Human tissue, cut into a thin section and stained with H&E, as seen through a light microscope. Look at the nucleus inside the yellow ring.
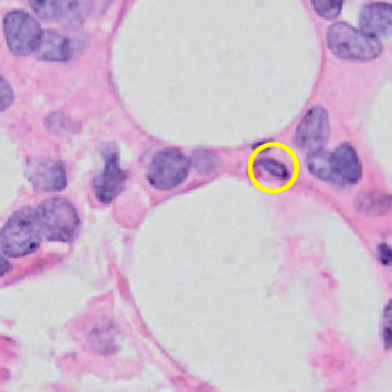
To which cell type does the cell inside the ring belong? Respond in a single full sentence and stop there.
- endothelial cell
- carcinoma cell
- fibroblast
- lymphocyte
The correct response here is that the cell inside the ring is an endothelial cell.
